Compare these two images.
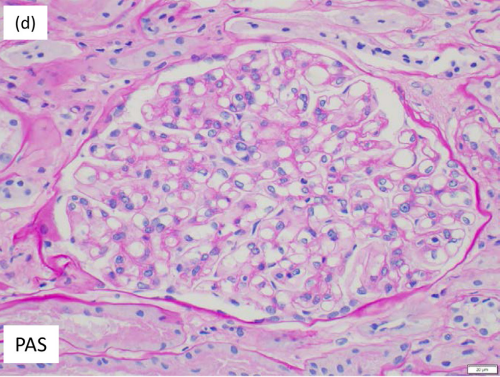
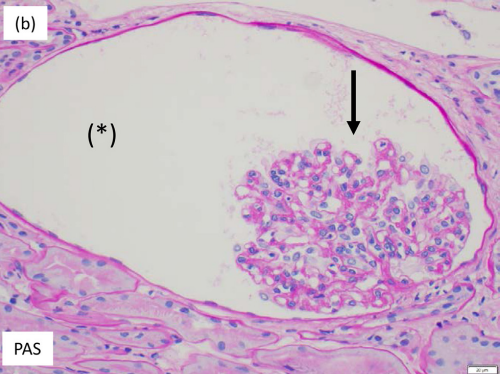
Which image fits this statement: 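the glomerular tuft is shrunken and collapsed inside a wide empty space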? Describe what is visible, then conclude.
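First image: a large glomerular tuft fills nearly the whole capsule. Second image: a small tuft lies at one edge of a large empty space.
The second image.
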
